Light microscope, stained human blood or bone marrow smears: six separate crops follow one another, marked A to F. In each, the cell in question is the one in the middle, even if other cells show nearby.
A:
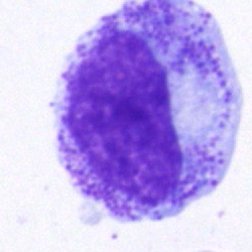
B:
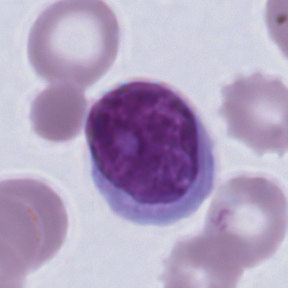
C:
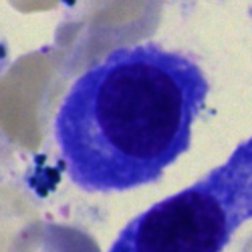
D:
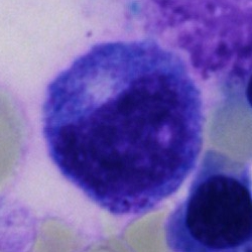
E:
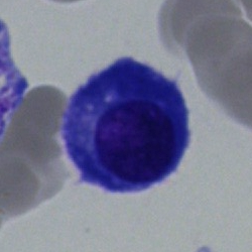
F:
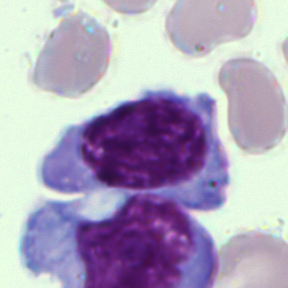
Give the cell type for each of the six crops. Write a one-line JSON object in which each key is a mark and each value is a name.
{"A": "promyelocyte", "B": "plasma cell", "C": "plasma cell", "D": "promyelocyte", "E": "plasma cell", "F": "plasma cell"}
